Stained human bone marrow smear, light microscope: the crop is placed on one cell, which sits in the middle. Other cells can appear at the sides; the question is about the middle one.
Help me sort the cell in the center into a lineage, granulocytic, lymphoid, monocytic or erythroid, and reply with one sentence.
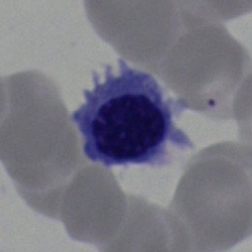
Regarding the central cell, its lineage is erythroid.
